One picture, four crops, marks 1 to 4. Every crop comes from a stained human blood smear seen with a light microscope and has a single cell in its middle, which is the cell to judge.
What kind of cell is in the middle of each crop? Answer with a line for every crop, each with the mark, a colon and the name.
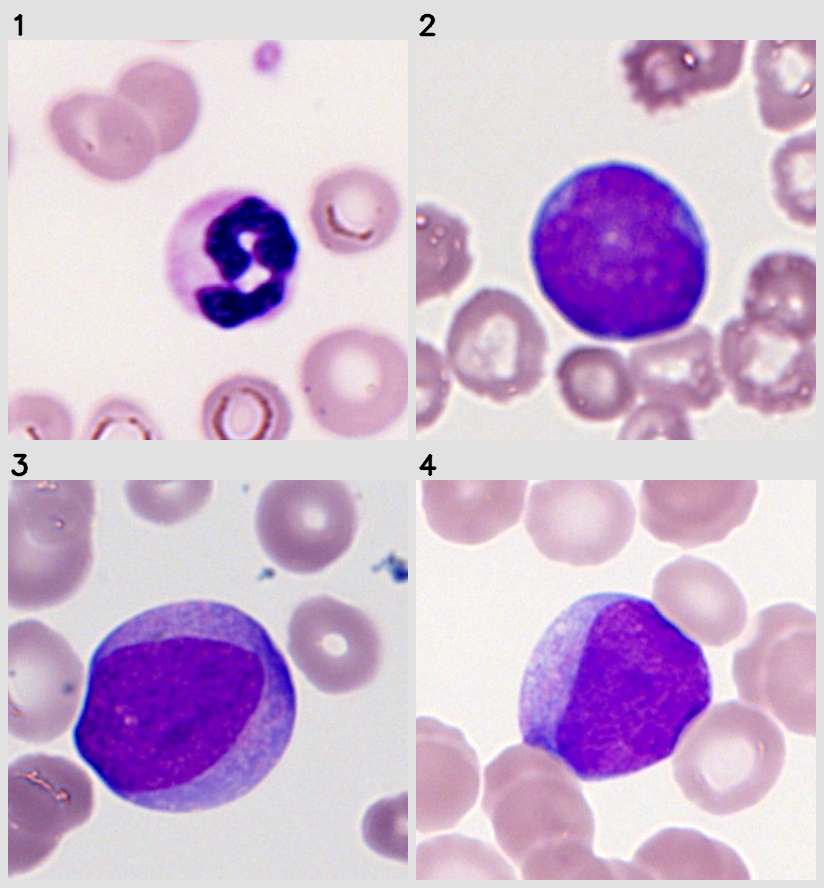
1: segmented neutrophil
2: myeloblast
3: myeloblast
4: myeloblast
